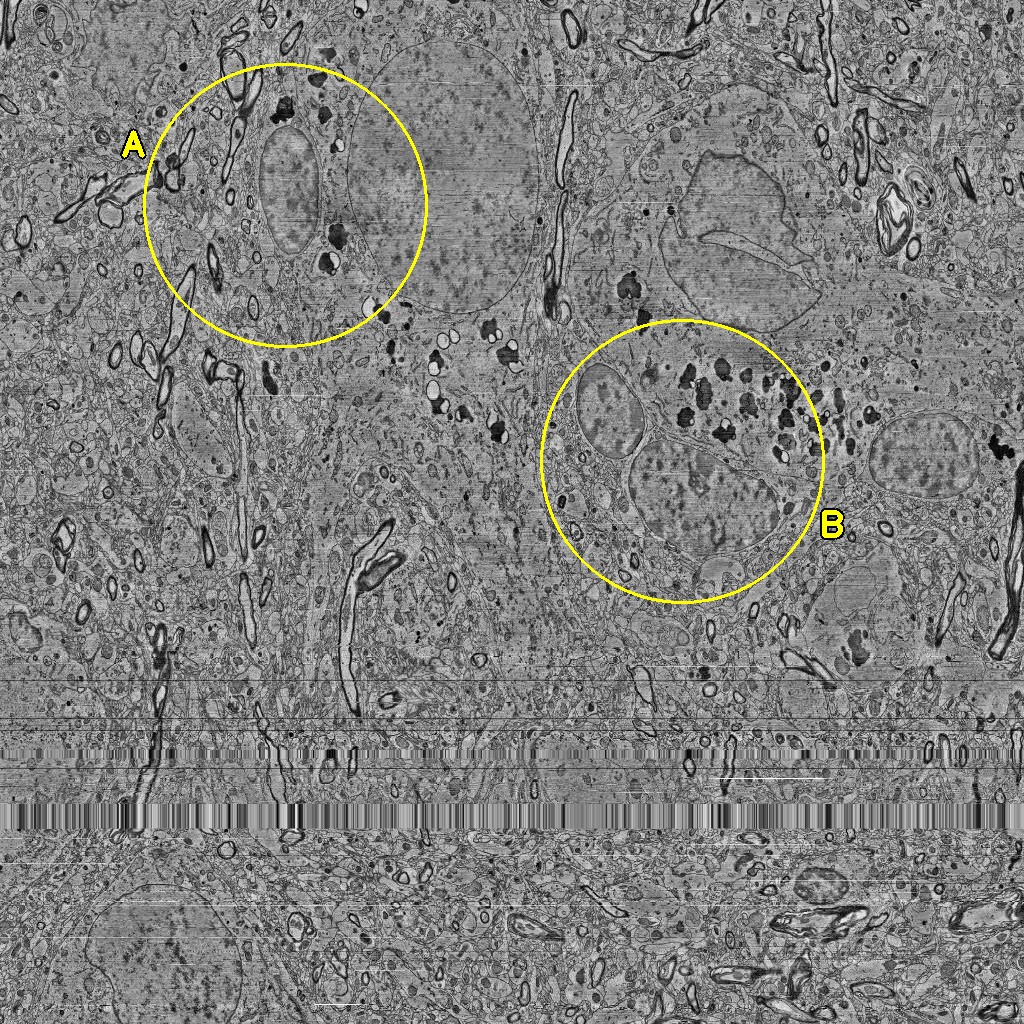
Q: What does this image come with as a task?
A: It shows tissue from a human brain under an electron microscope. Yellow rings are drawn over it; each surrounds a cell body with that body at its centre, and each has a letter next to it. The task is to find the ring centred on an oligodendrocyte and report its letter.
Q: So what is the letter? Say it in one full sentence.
It is A, the letter of the ring centred on the cell asked for in the picture.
